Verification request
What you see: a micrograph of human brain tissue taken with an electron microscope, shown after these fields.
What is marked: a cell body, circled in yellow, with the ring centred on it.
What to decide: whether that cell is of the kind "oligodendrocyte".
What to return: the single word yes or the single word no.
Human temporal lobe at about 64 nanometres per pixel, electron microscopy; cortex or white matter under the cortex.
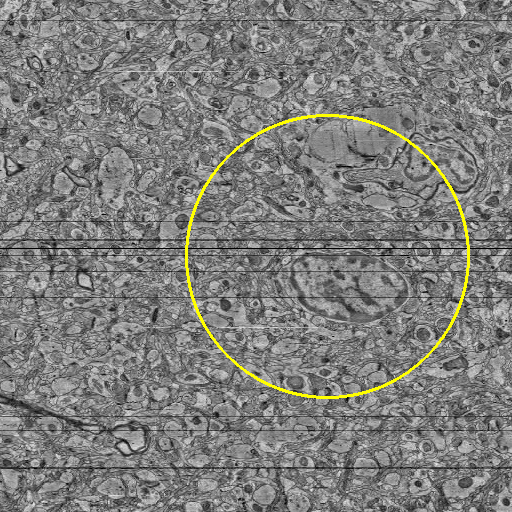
no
